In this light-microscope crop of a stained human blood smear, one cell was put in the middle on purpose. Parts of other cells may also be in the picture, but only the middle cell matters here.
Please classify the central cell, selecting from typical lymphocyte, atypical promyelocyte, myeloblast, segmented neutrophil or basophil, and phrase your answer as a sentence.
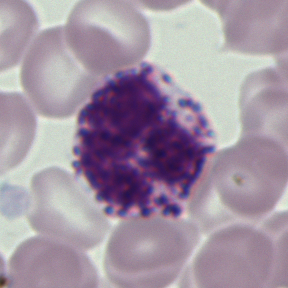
The central element of this crop is a cell, namely a basophil.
